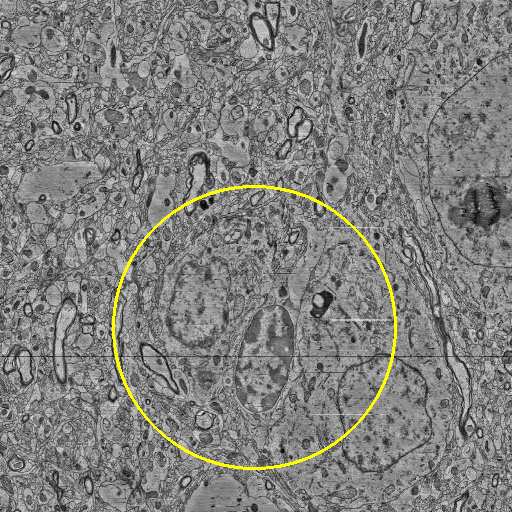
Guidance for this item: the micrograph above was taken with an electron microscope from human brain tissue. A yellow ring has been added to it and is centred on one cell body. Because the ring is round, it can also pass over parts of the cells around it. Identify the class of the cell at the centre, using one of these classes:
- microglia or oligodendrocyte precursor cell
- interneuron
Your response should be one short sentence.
The ring surrounds the body of a microglial cell or oligodendrocyte precursor cell.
